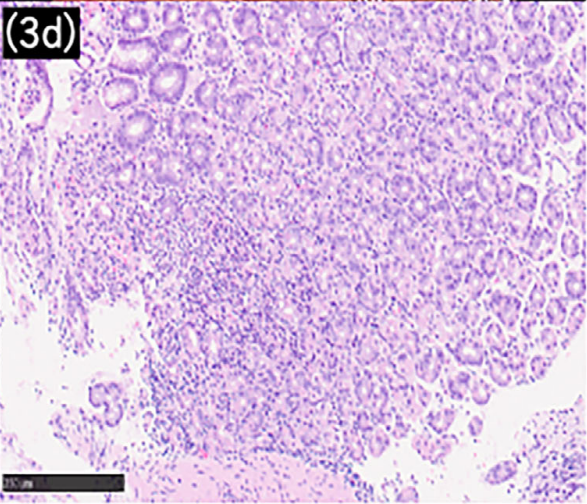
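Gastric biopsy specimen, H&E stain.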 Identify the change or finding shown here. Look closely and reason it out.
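Round gland profiles in cross-section fill much of the mucosa. Glands away from this cluster are surrounded by less crowded stroma.
Answer: focally enhanced gastritis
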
